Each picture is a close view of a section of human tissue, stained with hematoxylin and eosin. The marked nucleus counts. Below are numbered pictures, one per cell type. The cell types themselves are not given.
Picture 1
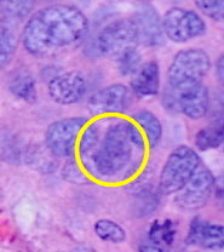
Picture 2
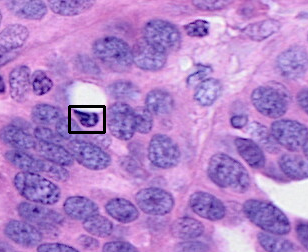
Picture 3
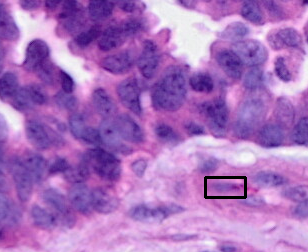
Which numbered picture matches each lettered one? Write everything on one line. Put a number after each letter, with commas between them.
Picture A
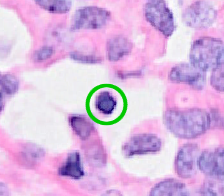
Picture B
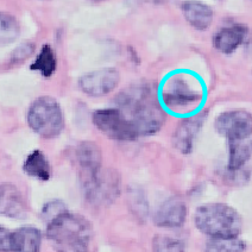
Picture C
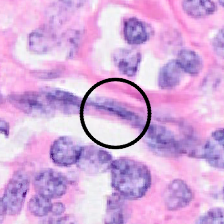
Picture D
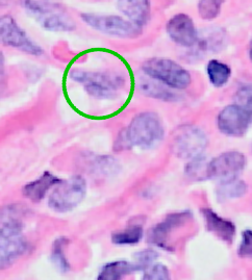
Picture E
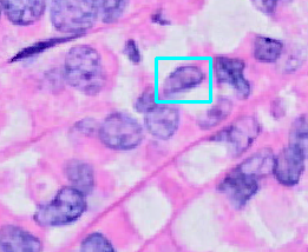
A 2, B 3, C 3, D 3, E 1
